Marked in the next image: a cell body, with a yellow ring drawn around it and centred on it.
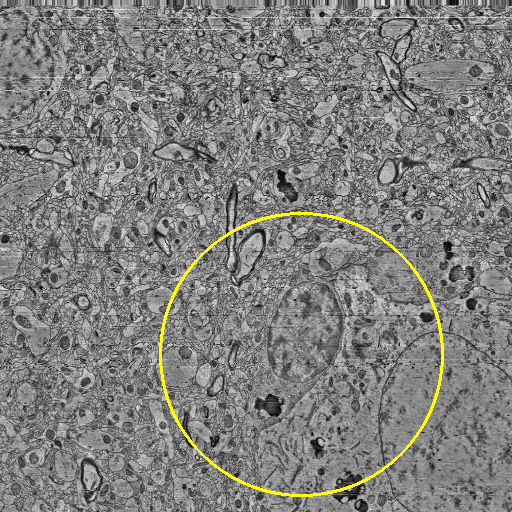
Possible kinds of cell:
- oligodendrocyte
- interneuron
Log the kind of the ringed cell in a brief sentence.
The ringed cell body is that of an oligodendrocyte.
